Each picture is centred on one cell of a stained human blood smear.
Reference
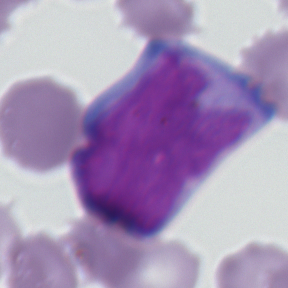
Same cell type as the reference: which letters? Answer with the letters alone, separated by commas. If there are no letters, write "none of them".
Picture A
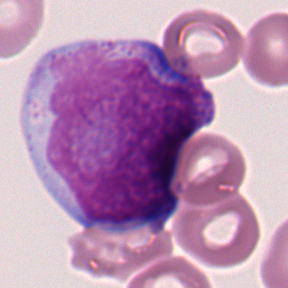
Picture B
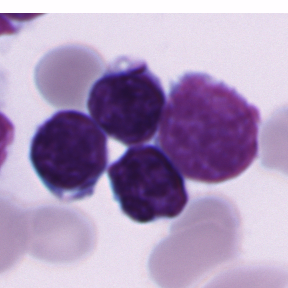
B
